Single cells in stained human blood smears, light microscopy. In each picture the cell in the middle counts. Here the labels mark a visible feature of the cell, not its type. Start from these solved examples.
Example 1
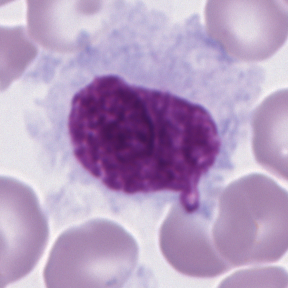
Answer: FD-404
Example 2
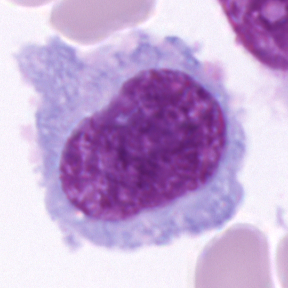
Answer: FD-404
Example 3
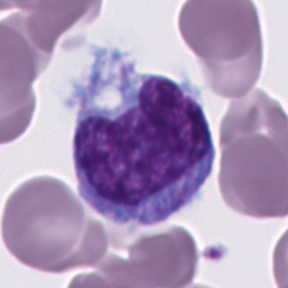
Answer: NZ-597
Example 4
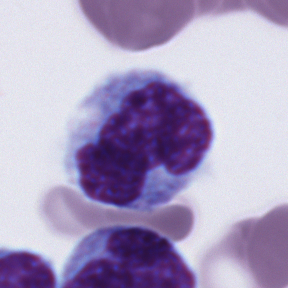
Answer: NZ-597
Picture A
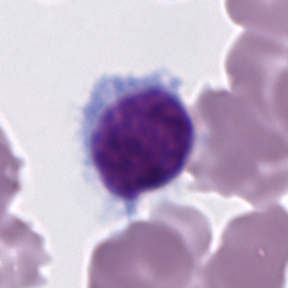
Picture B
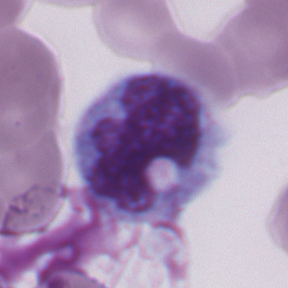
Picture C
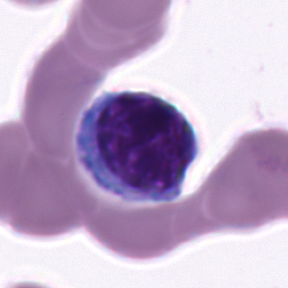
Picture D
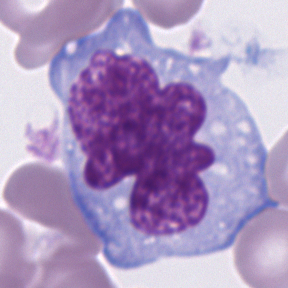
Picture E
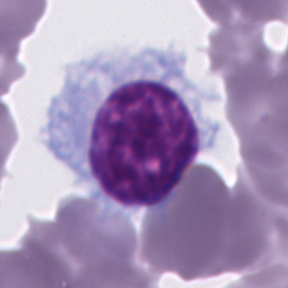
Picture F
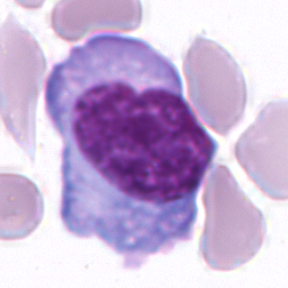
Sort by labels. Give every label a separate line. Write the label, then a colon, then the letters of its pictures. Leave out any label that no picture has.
FD-404: D, E, F
NZ-597: A, B, C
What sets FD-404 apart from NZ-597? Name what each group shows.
FD-404, abundant cytoplasm; NZ-597, scant cytoplasm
